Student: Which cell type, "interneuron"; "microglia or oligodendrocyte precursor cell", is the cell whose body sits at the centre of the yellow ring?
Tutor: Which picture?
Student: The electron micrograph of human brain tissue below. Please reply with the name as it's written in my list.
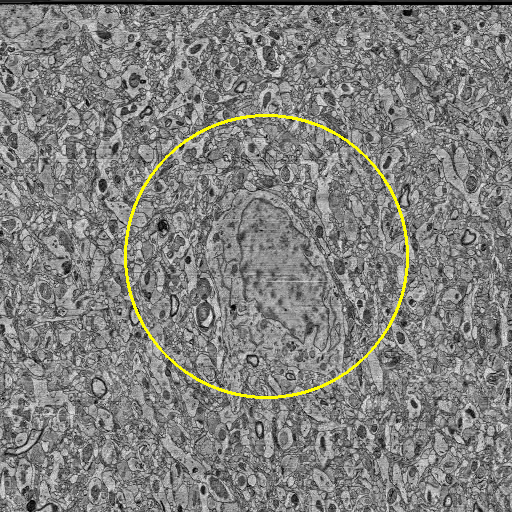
interneuron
